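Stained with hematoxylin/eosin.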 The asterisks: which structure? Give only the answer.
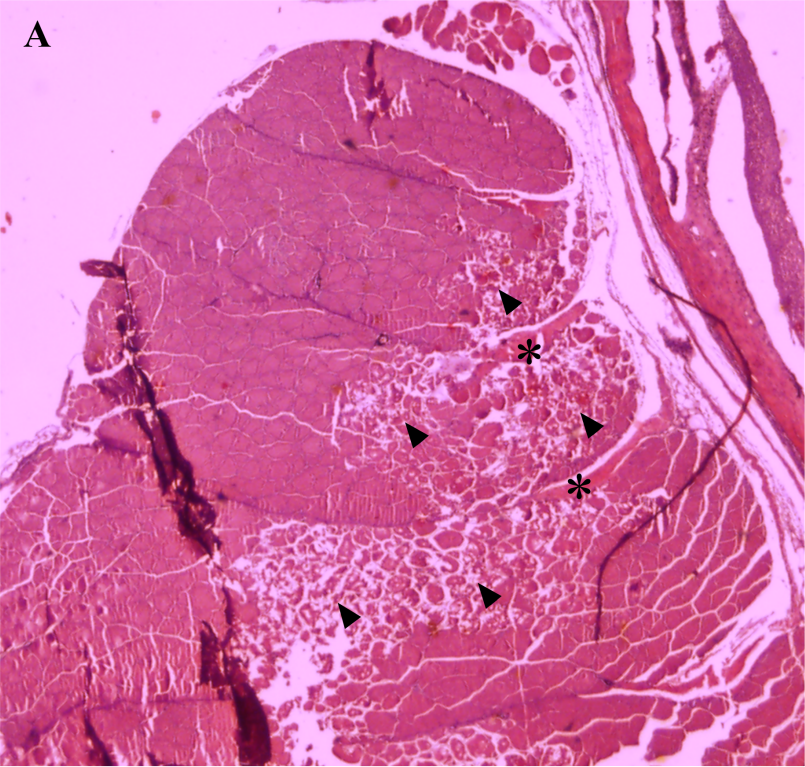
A: myoseptum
